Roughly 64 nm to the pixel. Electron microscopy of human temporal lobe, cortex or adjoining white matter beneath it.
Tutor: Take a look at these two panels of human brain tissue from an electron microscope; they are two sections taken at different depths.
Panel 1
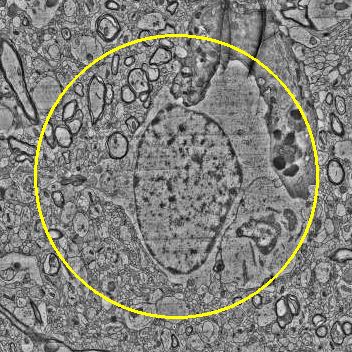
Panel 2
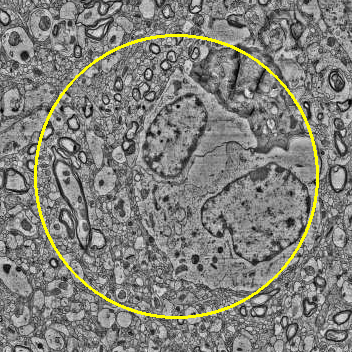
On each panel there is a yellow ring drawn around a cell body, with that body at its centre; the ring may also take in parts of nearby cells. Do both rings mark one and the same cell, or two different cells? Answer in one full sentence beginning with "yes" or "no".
Yes, one cell is ringed in yellow twice over.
